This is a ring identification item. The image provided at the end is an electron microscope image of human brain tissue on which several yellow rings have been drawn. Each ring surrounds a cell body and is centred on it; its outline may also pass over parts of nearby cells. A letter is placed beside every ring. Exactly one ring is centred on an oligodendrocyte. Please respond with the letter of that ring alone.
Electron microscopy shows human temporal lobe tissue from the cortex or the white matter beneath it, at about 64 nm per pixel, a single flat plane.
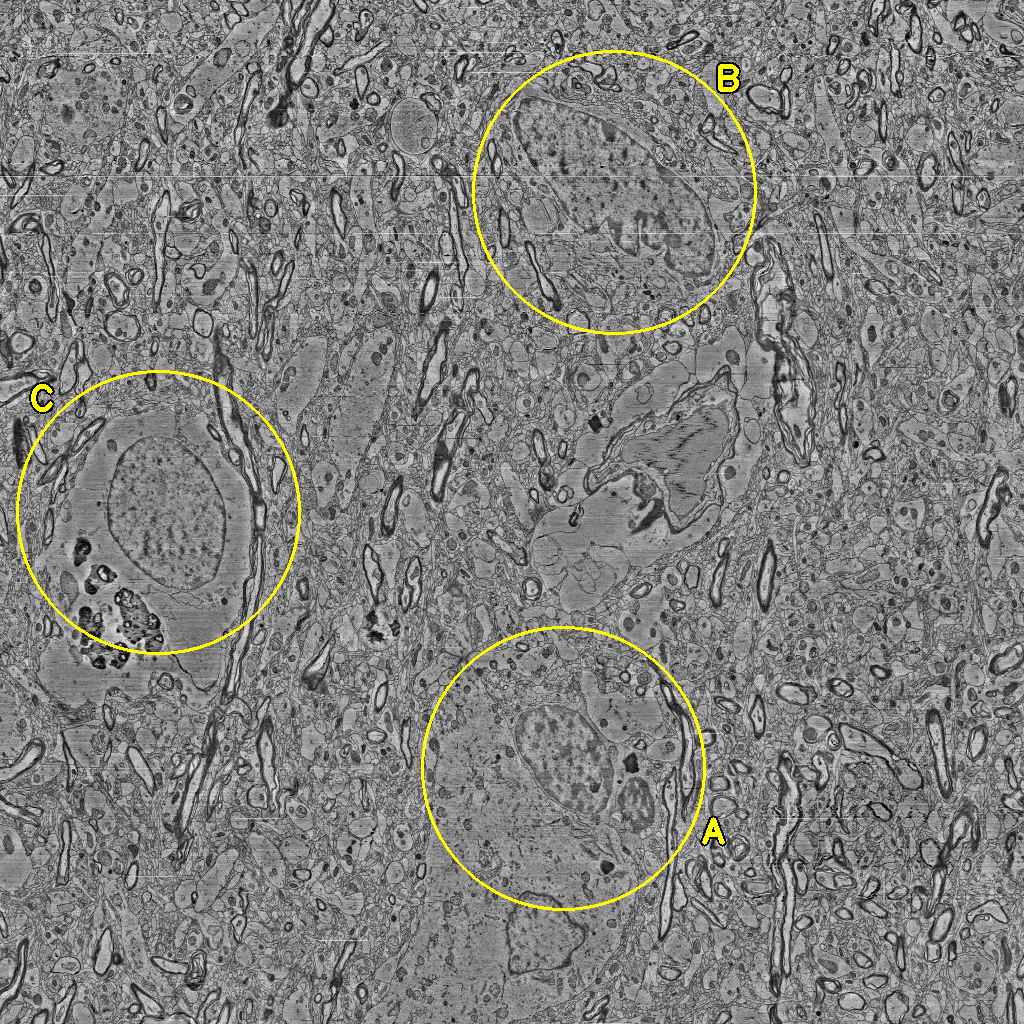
A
